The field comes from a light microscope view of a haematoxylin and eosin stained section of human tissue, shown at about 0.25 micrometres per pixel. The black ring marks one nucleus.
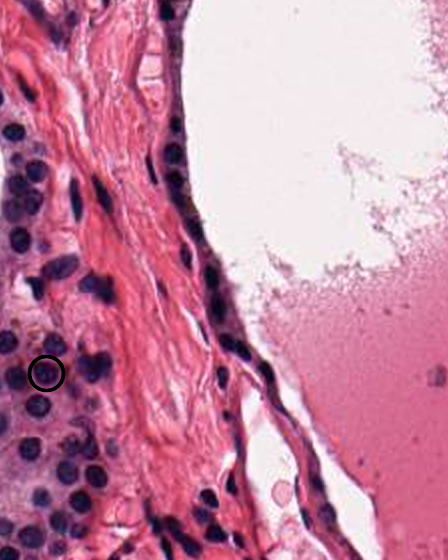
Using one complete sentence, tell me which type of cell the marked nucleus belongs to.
Within the picture, the marked nucleus belongs to a thyroid follicular cell.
